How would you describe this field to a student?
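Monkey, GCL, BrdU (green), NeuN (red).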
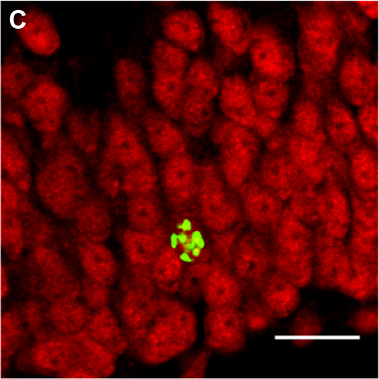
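This is a densely packed layer of neuronal cell bodies stained red, lying side by side with little space between them. The cell bodies are rounded to oval and of fairly even size, with red staining filling them and faint darker spots within. Near the centre, one cell carries a compact, clumped green label in its nucleus, surrounded by red. All other cells show red only.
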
